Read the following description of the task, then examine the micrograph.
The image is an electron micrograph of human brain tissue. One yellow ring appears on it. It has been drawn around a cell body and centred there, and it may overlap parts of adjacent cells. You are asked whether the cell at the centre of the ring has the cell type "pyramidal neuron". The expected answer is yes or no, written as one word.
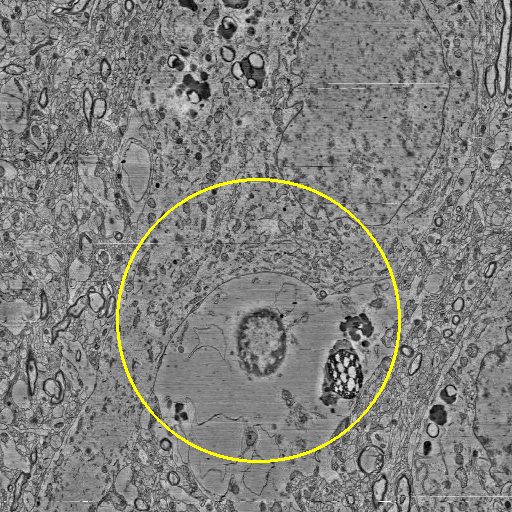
no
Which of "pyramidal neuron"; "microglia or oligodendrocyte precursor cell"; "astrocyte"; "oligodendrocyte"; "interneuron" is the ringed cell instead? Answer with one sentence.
It is an astrocyte that the ring is centred on.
